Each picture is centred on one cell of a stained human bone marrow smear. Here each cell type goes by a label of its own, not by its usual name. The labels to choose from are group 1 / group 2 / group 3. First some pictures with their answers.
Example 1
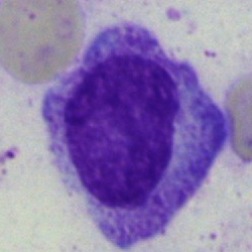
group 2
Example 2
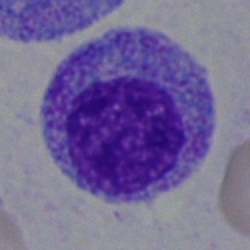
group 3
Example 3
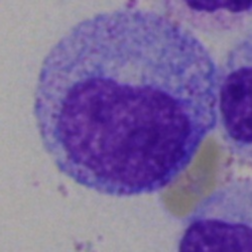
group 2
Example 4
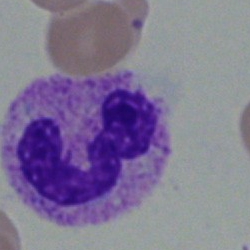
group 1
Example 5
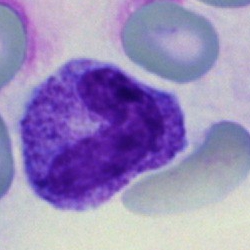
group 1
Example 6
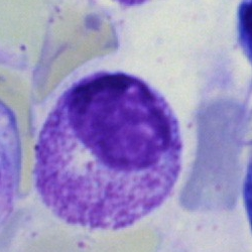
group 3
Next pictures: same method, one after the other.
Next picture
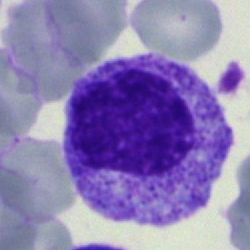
group 3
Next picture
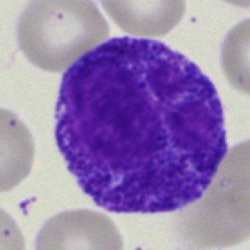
group 2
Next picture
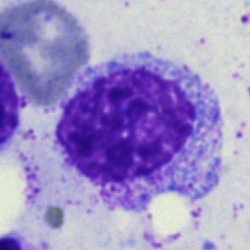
group 3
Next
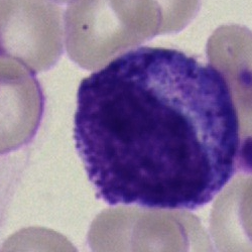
group 3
